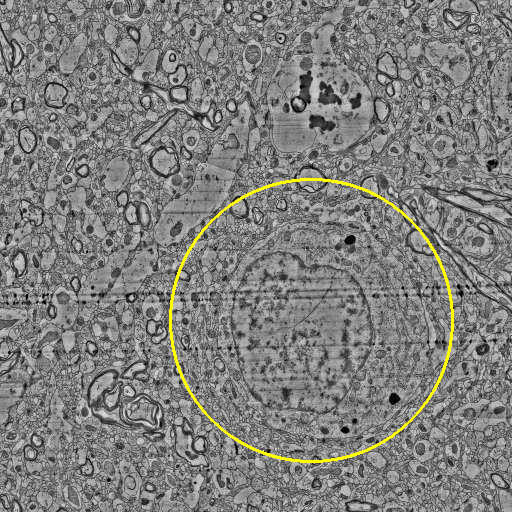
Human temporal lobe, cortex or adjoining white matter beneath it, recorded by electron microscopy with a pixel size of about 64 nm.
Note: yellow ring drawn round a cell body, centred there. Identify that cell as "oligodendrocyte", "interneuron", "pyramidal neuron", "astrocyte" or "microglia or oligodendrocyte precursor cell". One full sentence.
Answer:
The cell in the middle of the ring is an interneuron.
